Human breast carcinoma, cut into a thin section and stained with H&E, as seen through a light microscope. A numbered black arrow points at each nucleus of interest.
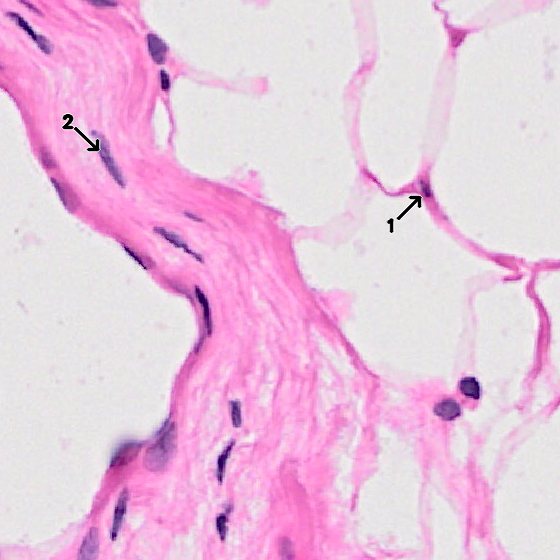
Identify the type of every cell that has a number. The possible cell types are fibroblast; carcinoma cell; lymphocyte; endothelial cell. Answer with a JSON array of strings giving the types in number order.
["endothelial cell", "fibroblast"]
